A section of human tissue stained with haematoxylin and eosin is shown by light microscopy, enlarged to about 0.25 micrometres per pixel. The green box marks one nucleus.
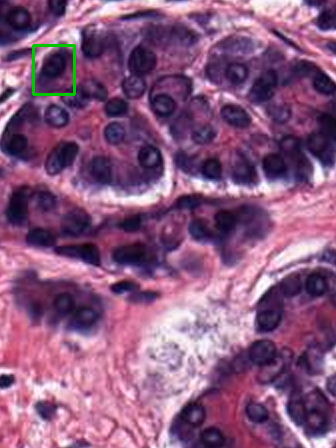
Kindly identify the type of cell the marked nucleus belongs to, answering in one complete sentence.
In this section, the marked nucleus is that of a pancreatic acinar cell.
